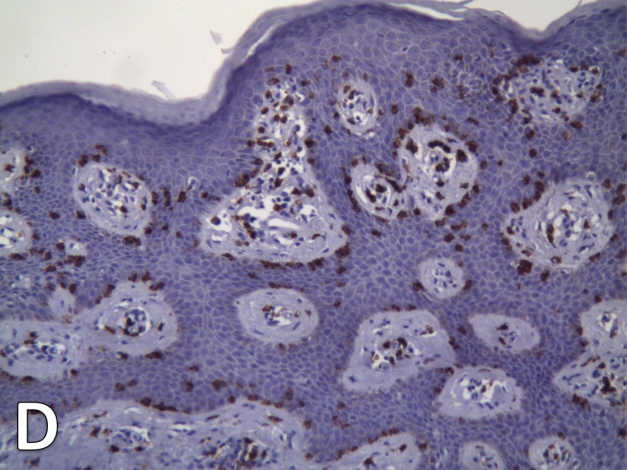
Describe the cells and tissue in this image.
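The epidermis is thickened and blue-counterstained, with rete ridges separating rounded dermal papillae cut across. Small brown-stained lymphocytes cluster inside the papillae and line up mainly along the basal layer at the junction with the dermis. Few stained cells reach the upper epidermis.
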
